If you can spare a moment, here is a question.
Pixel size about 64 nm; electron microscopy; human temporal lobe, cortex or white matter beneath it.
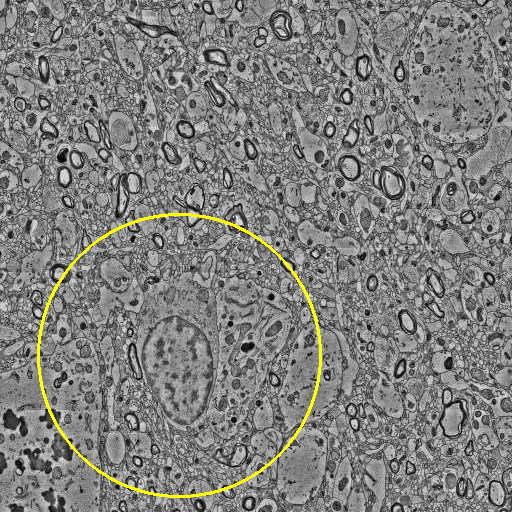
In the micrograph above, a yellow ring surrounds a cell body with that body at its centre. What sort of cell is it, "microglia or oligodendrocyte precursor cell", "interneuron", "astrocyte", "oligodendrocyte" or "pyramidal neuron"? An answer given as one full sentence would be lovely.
Centred inside the yellow ring, the cell body shown belongs to an oligodendrocyte in this micrograph.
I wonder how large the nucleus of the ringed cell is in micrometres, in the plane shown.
In this plane the nucleus is clearly longer than it is wide: roughly 7 by 4 micrometres.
